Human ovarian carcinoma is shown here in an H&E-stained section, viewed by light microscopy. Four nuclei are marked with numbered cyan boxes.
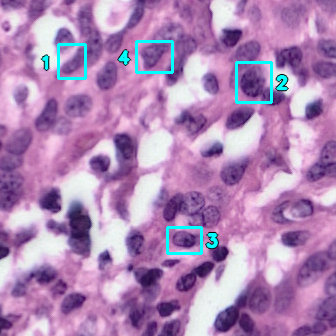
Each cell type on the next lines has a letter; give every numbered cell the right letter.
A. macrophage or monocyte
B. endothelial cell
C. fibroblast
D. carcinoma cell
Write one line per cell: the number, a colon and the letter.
1: D
2: D
3: A
4: D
